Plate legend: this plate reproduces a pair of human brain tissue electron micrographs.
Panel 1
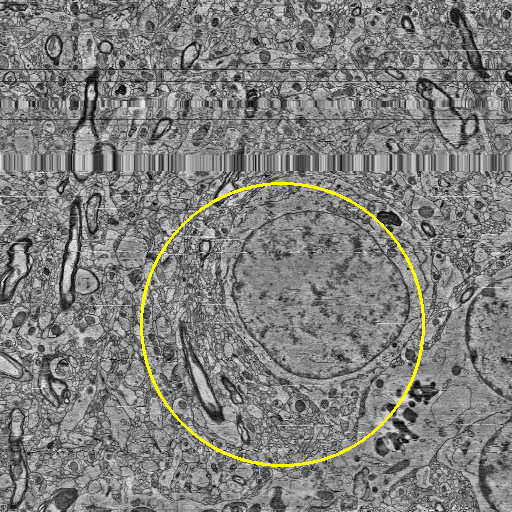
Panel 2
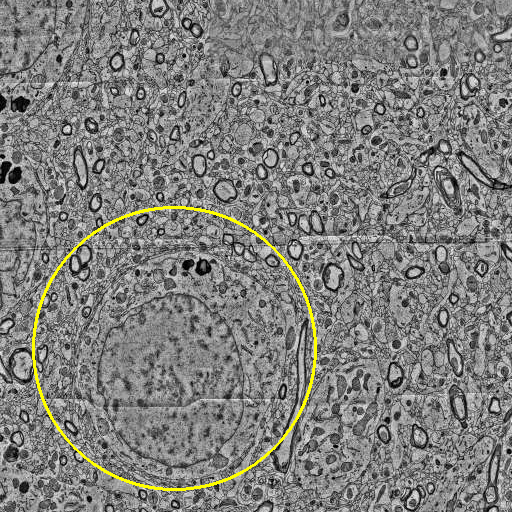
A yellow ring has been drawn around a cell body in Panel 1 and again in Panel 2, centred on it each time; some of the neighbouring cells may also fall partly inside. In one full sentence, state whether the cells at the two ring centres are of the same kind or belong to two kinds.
The ring-centred cells of Panel 1 and Panel 2 are of the same kind.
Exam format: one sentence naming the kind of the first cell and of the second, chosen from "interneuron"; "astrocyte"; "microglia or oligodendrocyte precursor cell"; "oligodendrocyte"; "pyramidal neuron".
Both the first and the second picture show a pyramidal neuron in the ring.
